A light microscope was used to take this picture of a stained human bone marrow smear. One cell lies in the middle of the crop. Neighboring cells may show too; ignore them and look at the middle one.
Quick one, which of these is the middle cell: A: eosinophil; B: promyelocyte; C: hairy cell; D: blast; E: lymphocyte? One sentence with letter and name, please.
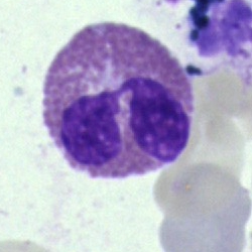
Option A correctly states that the central cell is an eosinophil.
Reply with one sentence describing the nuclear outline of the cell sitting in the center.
The key feature is a nucleus with multiple lobes.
